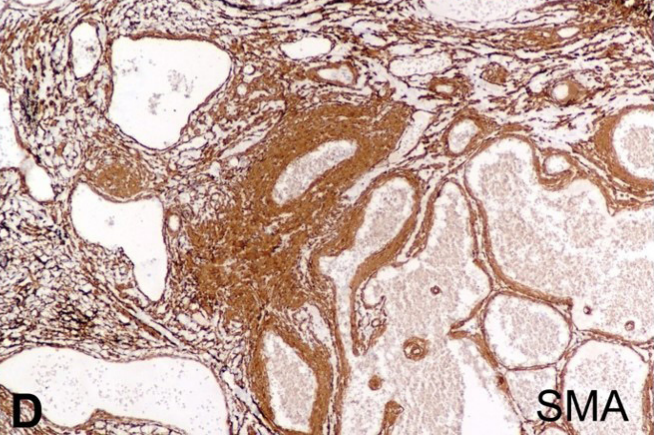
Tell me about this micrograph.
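Large, irregular, largely empty vascular spaces, some holding pale blood, are rimmed by brown-stained walls of varying thickness. A broad, dense band of brown fascicles crosses the centre of the field. Looser brown-stained stroma lies toward the upper left and contains scattered small vessels.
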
